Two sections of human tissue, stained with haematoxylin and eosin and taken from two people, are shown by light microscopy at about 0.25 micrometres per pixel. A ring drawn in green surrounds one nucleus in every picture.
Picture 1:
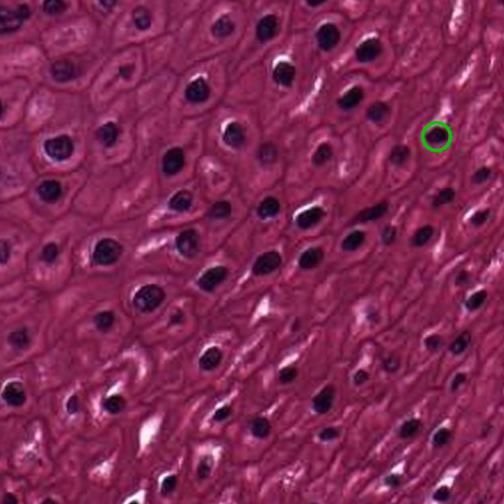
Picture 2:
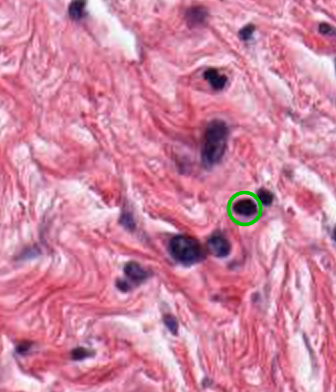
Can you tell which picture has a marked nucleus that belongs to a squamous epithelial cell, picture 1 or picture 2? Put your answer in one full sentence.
Picture 1 is where the marked nucleus belongs to a squamous epithelial cell.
